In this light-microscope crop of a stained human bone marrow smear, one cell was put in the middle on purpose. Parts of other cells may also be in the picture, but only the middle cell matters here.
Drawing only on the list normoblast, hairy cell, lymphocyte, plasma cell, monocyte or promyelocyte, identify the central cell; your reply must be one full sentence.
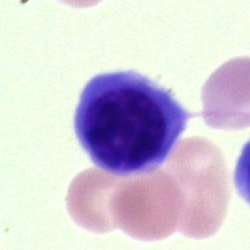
The crop shows a normoblast in its centre.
